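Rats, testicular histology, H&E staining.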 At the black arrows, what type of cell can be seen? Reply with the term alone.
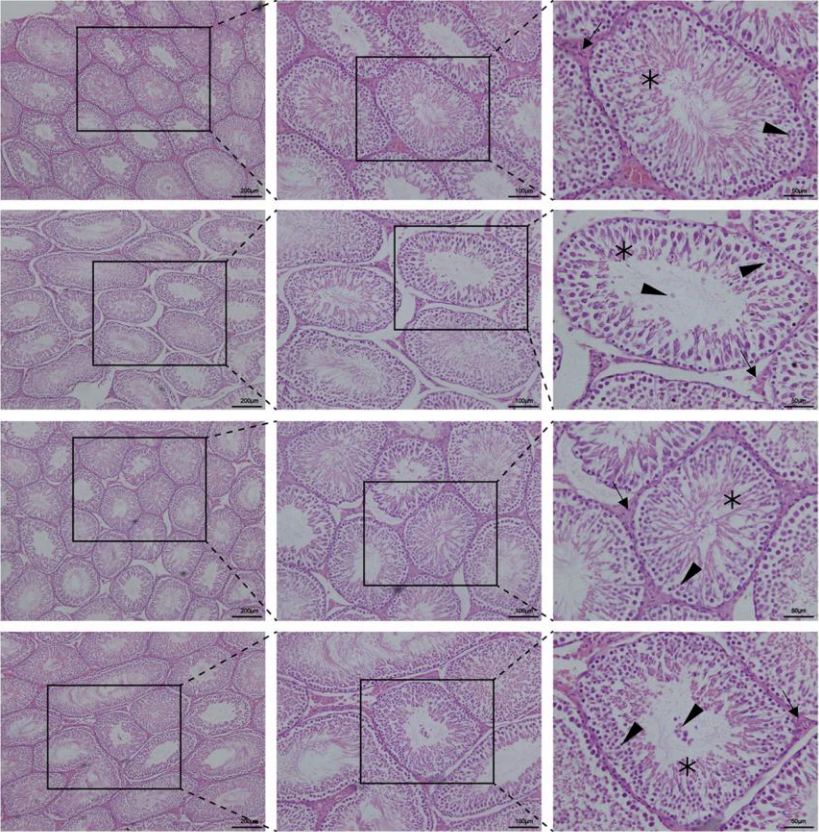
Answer: Leydig cells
